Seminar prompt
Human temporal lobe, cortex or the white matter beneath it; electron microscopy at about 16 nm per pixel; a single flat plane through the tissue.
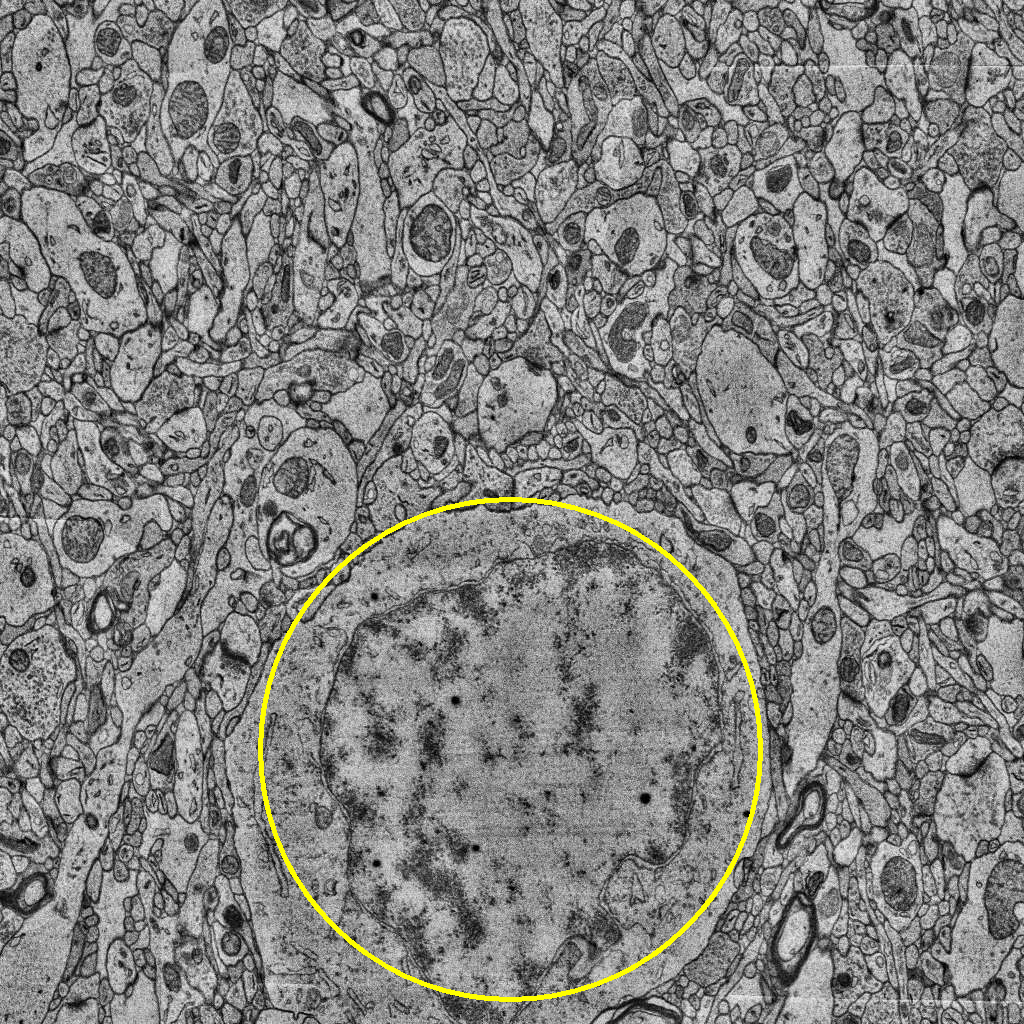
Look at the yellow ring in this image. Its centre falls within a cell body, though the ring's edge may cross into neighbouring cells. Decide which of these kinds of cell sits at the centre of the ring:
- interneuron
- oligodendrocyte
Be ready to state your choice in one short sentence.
The kind of cell at the ring's centre is an interneuron.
